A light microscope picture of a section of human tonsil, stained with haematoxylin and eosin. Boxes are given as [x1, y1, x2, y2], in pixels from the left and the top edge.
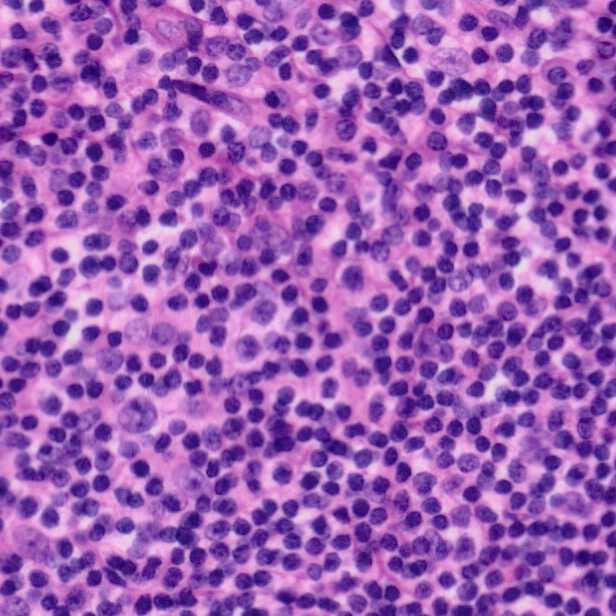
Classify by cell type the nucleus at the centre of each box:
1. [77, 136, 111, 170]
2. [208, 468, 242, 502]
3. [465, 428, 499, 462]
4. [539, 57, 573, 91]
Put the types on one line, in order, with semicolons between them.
small lymphocyte; small lymphocyte; small lymphocyte; plasma cell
